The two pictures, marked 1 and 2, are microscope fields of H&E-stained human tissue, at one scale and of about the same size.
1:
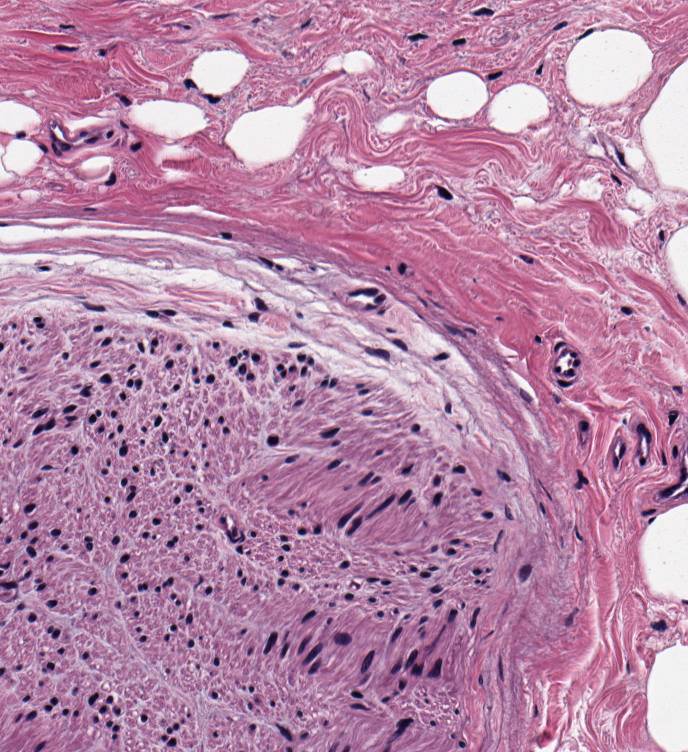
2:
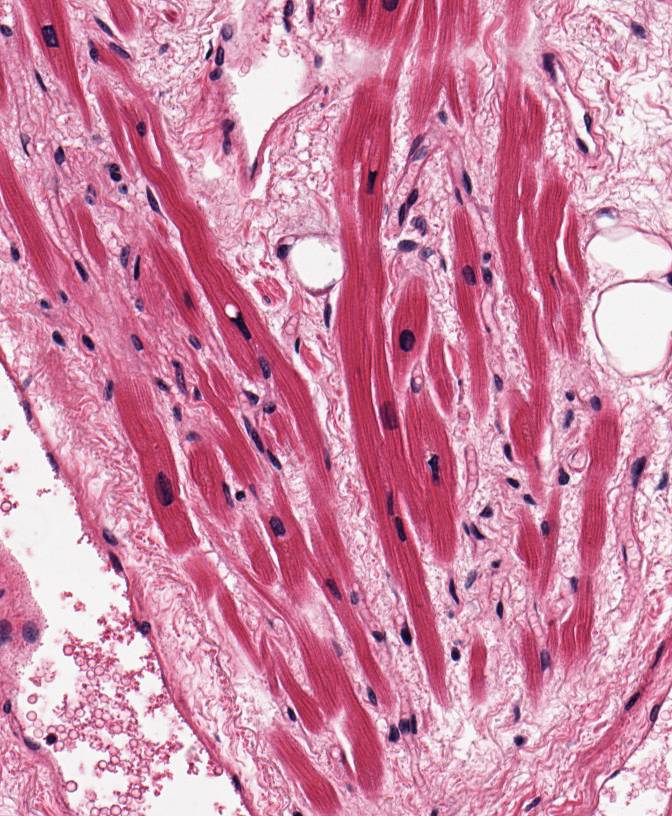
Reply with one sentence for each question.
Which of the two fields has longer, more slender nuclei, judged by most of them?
On the whole the nuclei of field 2 are more drawn out than those of field 1.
